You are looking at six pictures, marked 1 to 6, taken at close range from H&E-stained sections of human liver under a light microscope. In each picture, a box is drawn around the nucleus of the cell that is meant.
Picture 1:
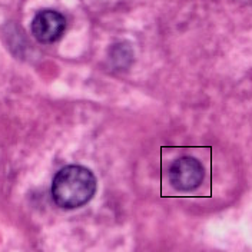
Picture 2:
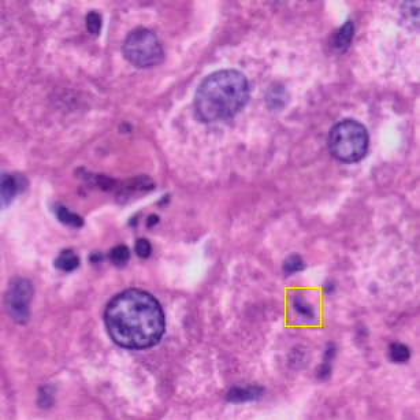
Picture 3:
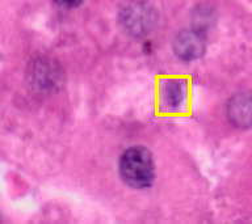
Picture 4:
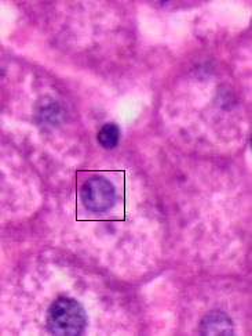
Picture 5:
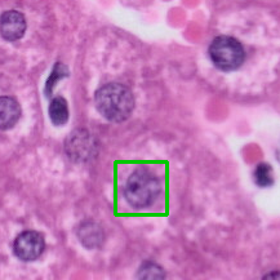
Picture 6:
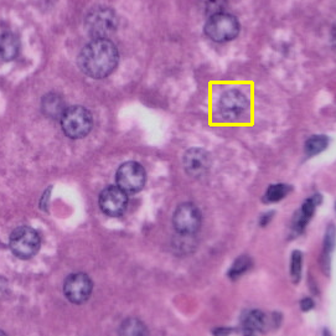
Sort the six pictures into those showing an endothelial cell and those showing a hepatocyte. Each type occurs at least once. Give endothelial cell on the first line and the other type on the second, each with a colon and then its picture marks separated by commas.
endothelial cell: 2, 3
hepatocyte: 1, 4, 5, 6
